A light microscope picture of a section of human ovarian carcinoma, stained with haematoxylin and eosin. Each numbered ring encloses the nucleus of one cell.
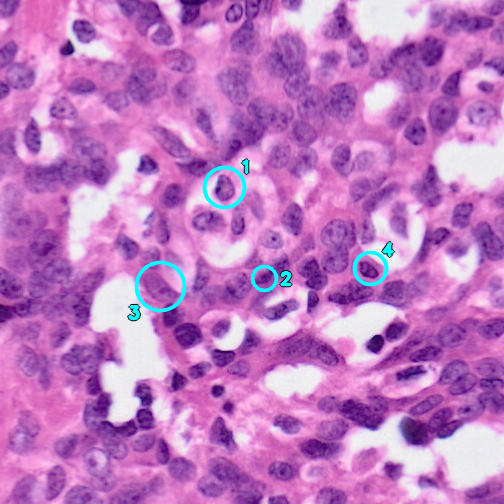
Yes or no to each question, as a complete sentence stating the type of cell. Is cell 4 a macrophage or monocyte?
Yes, that one, number 4, is a macrophage or monocyte.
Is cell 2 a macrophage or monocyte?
No, the cell given the number 2 is a carcinoma cell, so not a macrophage or monocyte.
